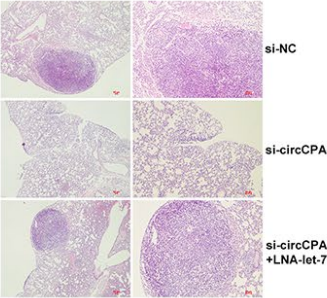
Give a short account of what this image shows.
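In the top and bottom rows, a rounded, sharply set-off mass of densely packed cells stands out within this network. It is solid and deep purple because its cells are crowded together with little space between them. At higher magnification the mass fills much of the field as a sheet of closely packed cells. The middle row shows mostly open alveolar tissue without such a large solid mass.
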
